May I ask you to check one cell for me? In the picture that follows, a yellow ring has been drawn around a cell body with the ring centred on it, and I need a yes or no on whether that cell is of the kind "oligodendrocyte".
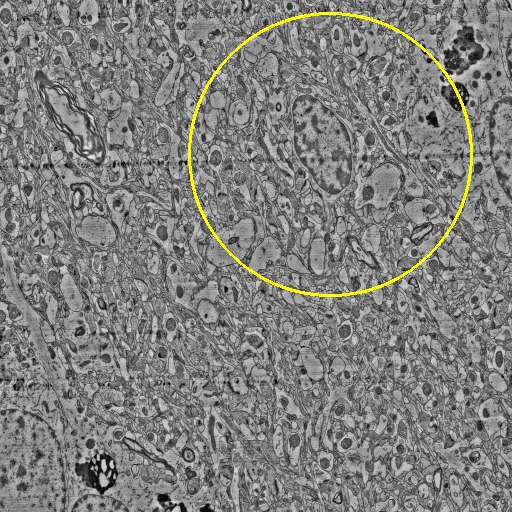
No, it is some other kind of cell.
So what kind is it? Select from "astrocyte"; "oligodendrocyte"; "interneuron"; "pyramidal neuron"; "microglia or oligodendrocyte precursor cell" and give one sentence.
It is a microglial cell or oligodendrocyte precursor cell that the ring is centred on.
